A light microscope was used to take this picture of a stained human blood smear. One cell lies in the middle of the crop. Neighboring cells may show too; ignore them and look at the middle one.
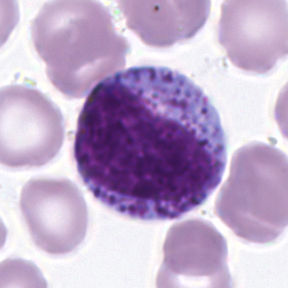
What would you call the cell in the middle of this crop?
myelocyte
